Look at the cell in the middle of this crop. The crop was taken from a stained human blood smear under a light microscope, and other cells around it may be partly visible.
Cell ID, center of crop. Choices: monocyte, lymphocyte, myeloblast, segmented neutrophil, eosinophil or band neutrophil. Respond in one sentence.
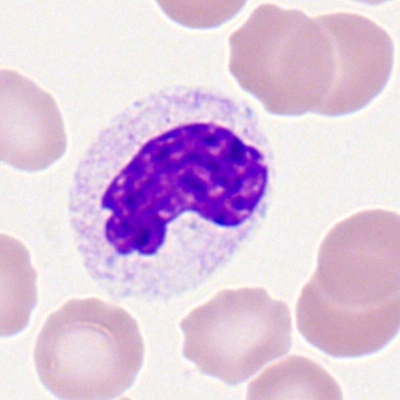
Occupying the centre of the crop is a band neutrophil.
